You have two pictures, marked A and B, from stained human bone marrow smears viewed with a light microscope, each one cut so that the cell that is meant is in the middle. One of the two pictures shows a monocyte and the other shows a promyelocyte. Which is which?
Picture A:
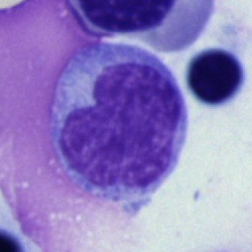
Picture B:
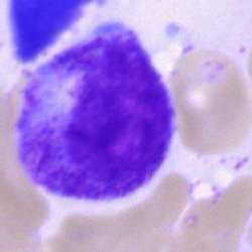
A: monocyte
B: promyelocyte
